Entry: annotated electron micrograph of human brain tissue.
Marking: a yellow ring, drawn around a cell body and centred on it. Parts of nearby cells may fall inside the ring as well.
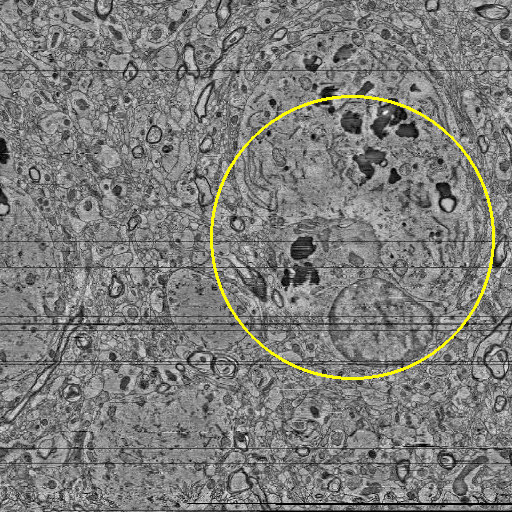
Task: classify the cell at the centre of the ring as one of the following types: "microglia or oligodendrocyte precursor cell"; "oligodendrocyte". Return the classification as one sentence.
The marked cell is classified as an oligodendrocyte.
